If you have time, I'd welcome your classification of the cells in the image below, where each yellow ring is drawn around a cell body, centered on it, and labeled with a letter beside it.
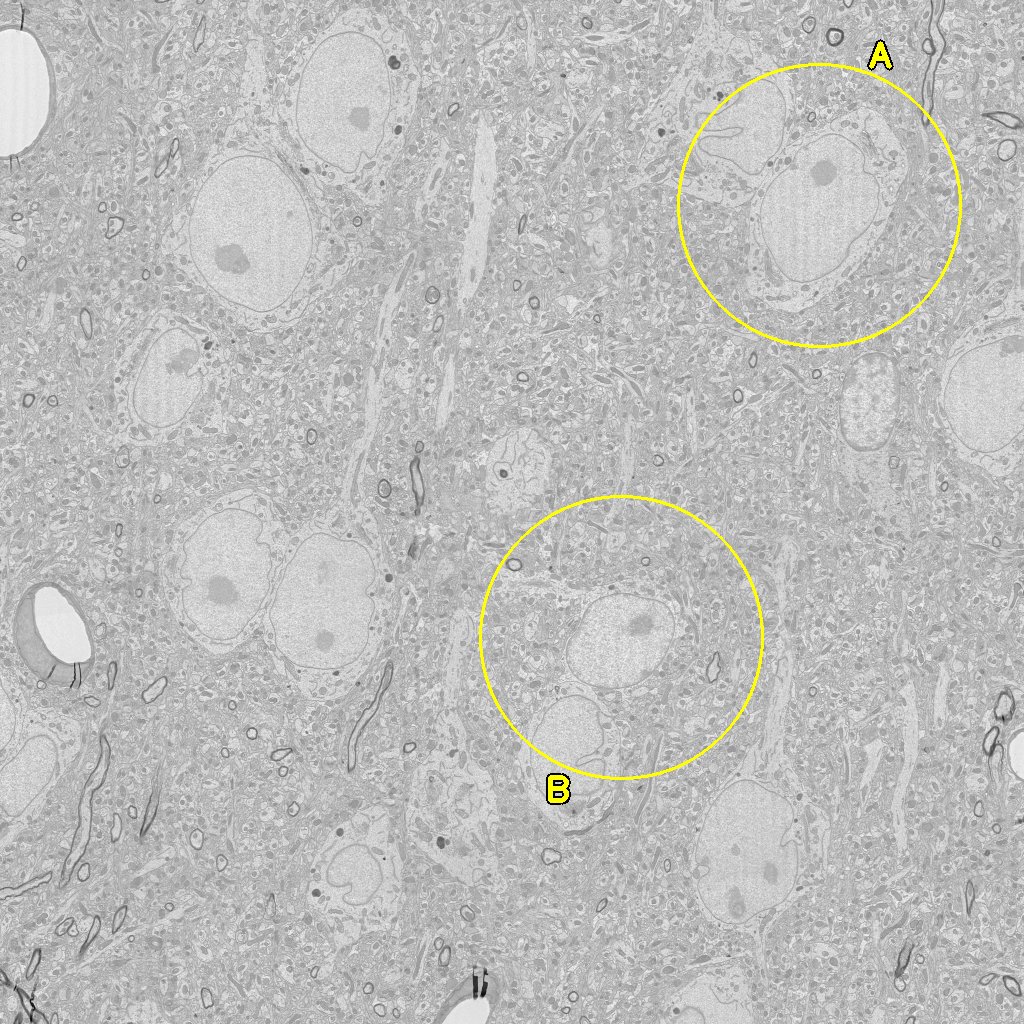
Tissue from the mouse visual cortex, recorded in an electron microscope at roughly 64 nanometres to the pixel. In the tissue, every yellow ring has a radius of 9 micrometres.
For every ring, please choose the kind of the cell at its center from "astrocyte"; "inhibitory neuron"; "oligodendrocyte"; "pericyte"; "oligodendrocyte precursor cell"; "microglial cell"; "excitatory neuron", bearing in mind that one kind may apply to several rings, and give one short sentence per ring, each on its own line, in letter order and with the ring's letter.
At the center of ring A is an excitatory neuron.
At the center of ring B is an astrocyte.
